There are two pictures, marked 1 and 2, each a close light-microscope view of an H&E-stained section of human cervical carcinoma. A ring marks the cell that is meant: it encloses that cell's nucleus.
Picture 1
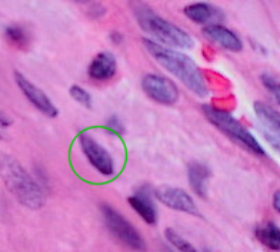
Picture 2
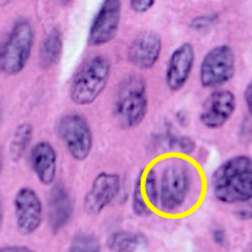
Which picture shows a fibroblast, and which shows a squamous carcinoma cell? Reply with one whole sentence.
Picture 1 shows a fibroblast and picture 2 shows a squamous carcinoma cell.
